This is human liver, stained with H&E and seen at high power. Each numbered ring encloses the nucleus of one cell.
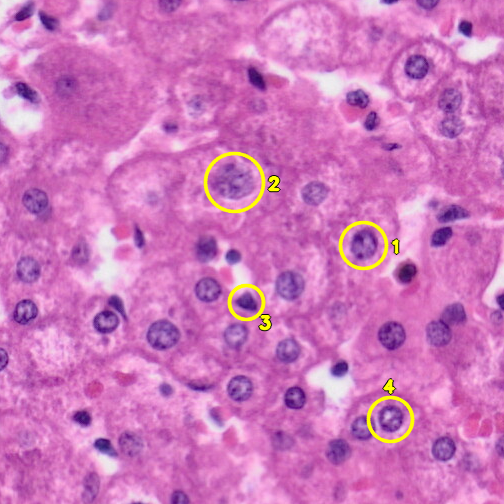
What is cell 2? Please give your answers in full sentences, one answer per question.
Corresponding to a hepatocyte is the cell labelled 2.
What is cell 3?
The marked cell with the number 3 is recognised as a fibroblast or stellate cell.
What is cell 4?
The marked cell bearing number 4 is a hepatocyte.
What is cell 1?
The cell numbered 1 has been identified as a hepatocyte.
